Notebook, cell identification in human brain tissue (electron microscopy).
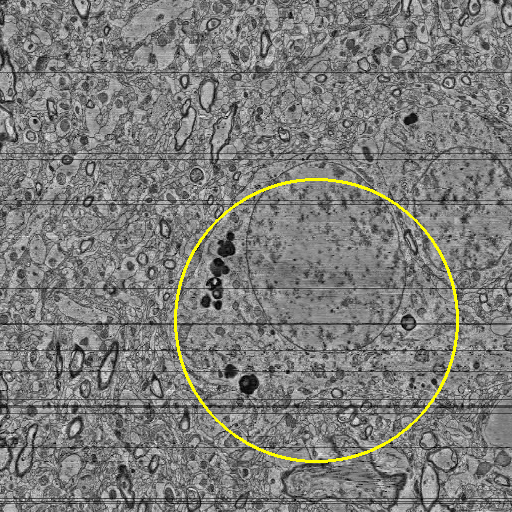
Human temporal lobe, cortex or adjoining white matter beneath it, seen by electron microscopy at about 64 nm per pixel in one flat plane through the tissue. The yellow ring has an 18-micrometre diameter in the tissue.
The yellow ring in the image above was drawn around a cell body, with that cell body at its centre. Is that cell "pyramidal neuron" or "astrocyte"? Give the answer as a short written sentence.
The cell in the ring is a pyramidal neuron.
